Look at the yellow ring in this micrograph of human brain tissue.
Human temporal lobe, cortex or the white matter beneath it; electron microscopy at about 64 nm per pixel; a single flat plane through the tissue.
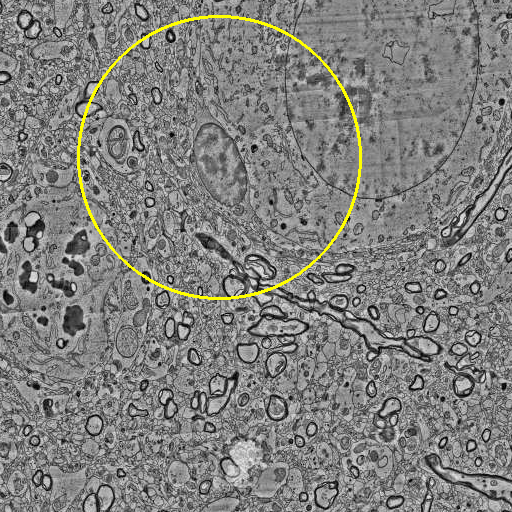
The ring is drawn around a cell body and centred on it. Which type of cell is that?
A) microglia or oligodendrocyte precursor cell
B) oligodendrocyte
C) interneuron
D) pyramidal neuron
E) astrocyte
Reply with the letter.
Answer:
B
